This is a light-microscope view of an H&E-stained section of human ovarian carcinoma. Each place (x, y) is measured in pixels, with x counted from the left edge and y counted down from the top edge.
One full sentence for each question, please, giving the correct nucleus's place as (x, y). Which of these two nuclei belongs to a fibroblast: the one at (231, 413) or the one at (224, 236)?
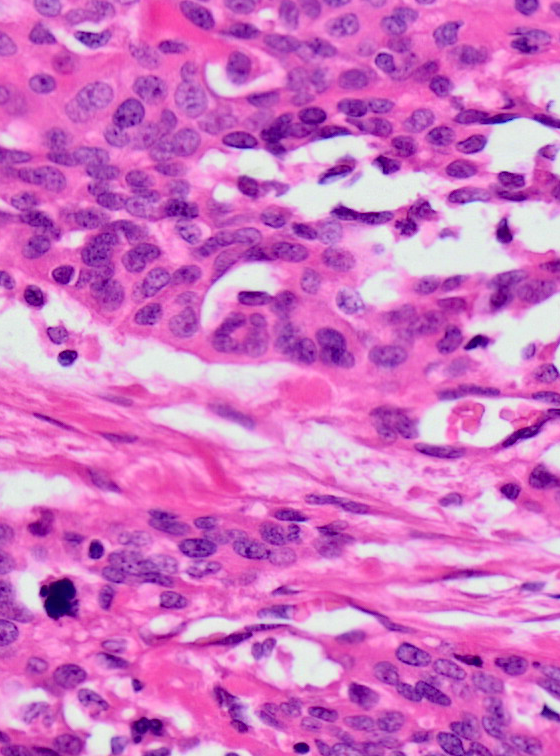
Only the nucleus at (231, 413), of the two, belongs to a fibroblast.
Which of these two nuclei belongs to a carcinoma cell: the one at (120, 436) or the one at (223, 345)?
Identify the nucleus at (223, 345) as the one belonging to a carcinoma cell.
